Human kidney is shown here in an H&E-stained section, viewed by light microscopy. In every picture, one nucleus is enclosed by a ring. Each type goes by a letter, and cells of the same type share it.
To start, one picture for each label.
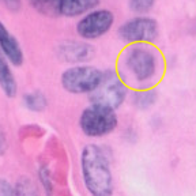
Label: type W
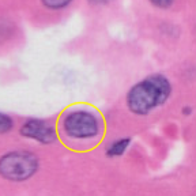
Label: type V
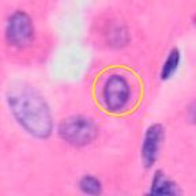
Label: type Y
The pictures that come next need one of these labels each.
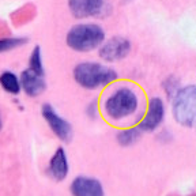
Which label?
type W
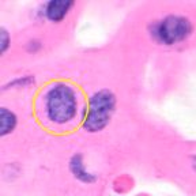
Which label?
type W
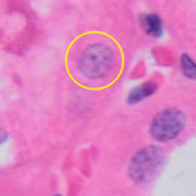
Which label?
type Y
